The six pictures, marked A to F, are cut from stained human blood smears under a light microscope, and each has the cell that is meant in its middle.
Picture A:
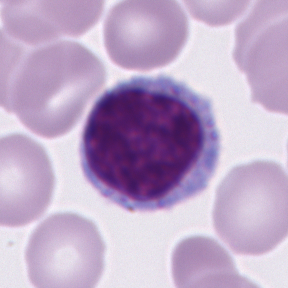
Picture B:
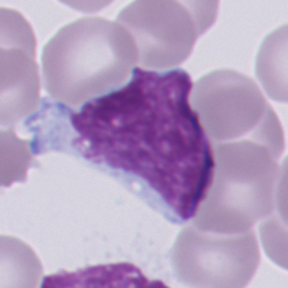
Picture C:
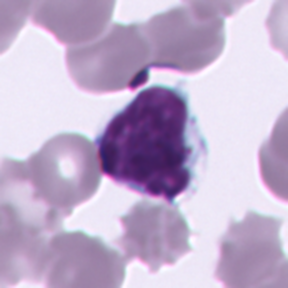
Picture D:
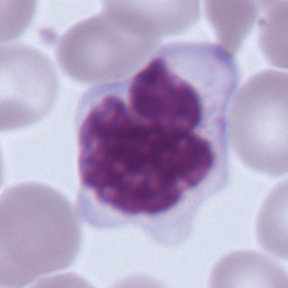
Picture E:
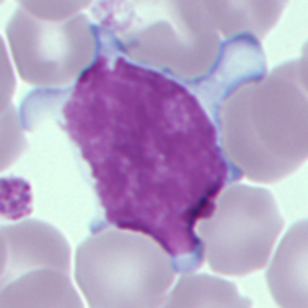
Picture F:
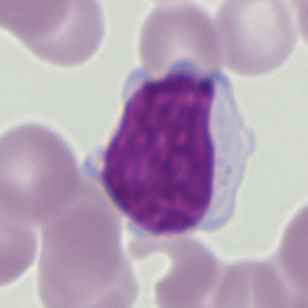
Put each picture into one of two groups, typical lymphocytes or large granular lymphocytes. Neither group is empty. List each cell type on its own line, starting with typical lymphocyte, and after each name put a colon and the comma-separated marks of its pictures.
typical lymphocyte: A, B, C, E
large granular lymphocyte: D, F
